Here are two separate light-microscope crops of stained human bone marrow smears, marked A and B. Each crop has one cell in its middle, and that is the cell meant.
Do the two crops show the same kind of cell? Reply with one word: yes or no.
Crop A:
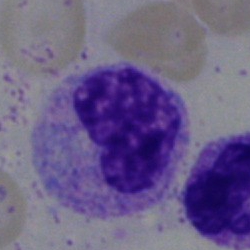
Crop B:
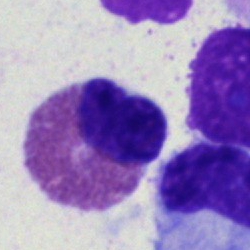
no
